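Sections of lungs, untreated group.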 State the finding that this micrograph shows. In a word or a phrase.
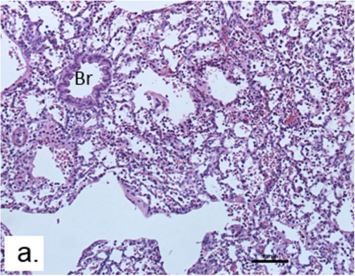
Collapsed alveoli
